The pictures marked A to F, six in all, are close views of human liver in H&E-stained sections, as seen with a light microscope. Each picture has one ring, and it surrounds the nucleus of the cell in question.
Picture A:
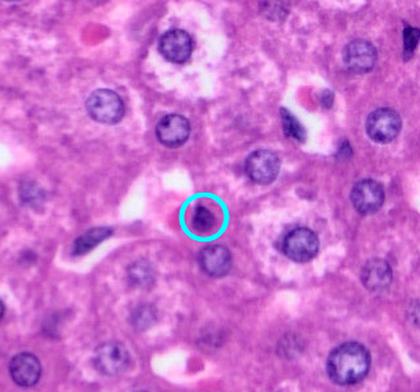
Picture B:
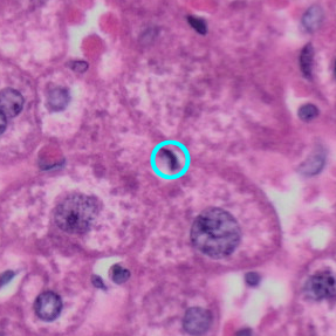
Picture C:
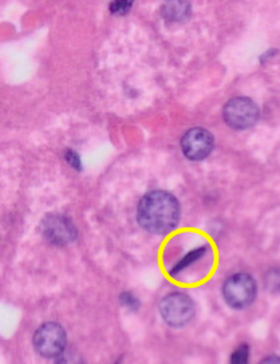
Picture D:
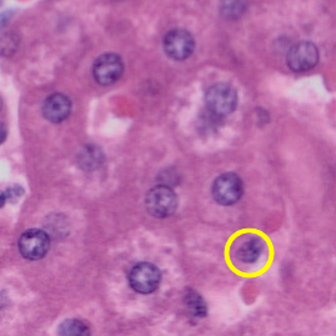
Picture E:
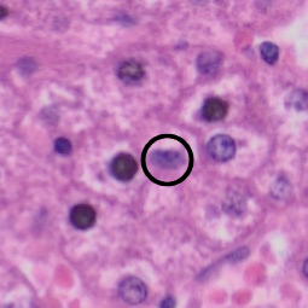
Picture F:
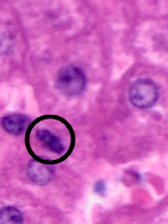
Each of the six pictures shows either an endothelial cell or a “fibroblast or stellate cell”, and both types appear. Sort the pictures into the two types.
A: fibroblast or stellate cell
B: endothelial cell
C: endothelial cell
D: endothelial cell
E: endothelial cell
F: fibroblast or stellate cell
